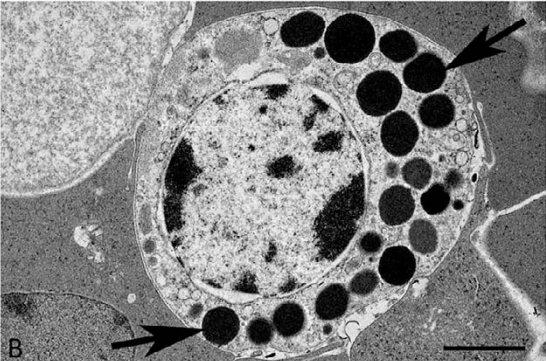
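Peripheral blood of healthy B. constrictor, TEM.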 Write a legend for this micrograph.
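An electron micrograph of a heterophil shows a large round nucleus with dark clumps of heterochromatin lying against its envelope. Round, dark electron-dense granules of varying size crowd the cytoplasm, mostly on one side of the nucleus and around its rim, and neighbouring red cells border the cell.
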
